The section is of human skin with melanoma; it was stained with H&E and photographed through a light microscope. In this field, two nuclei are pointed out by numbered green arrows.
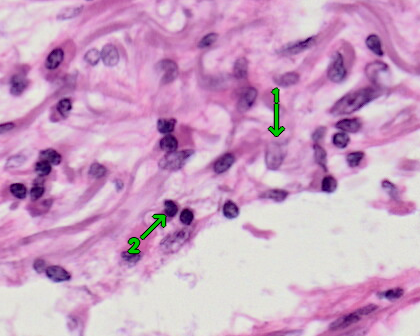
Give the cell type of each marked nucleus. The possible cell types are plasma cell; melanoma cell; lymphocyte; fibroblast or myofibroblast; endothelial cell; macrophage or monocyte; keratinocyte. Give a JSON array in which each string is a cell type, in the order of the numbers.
["fibroblast or myofibroblast", "plasma cell"]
